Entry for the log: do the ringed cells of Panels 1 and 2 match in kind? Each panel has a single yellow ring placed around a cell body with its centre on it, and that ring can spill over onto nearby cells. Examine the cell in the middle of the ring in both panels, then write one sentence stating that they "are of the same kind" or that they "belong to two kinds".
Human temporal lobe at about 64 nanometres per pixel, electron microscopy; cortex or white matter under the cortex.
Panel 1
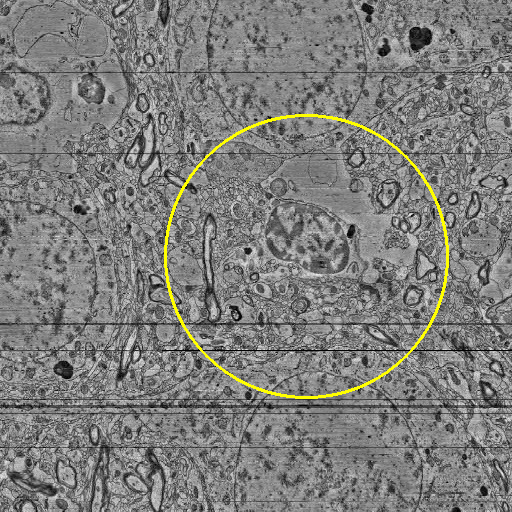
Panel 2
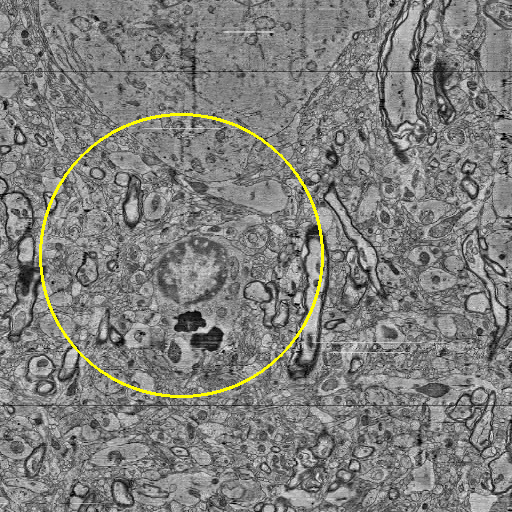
The centre cell of Panel 1's ring and that of Panel 2's ring belong to two kinds.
